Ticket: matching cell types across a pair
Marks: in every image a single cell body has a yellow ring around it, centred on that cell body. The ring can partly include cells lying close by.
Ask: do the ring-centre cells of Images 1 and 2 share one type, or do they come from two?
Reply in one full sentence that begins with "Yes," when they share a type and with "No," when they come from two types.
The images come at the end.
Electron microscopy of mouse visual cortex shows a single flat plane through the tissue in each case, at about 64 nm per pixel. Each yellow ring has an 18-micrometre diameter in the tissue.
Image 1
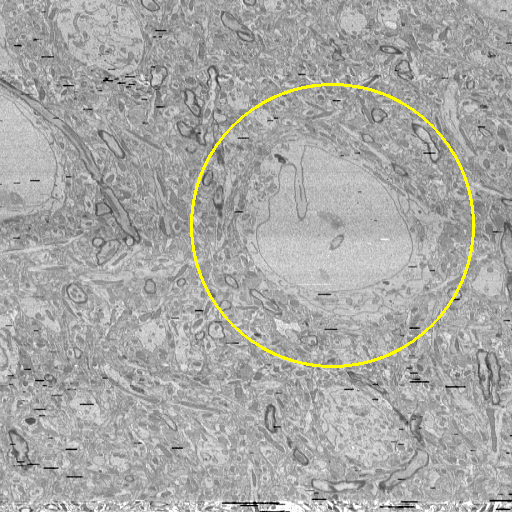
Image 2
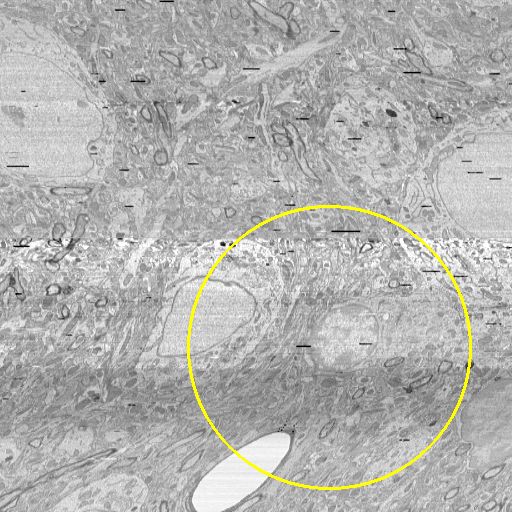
No, the cells in the centres of the rings in Image 1 and Image 2 come from two types.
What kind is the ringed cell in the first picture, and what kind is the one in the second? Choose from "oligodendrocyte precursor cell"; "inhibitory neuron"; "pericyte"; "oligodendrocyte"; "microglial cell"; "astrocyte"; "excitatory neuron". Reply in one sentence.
The first cell is an excitatory neuron; the second is an oligodendrocyte.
